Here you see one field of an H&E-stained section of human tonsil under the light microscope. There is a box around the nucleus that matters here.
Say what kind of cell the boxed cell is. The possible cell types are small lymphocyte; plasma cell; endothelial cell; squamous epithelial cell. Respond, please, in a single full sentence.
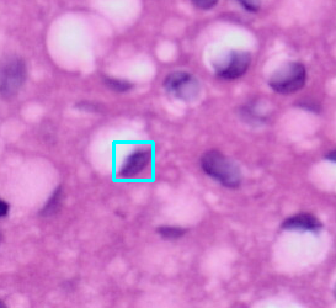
Students should answer that the boxed cell is a squamous epithelial cell.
